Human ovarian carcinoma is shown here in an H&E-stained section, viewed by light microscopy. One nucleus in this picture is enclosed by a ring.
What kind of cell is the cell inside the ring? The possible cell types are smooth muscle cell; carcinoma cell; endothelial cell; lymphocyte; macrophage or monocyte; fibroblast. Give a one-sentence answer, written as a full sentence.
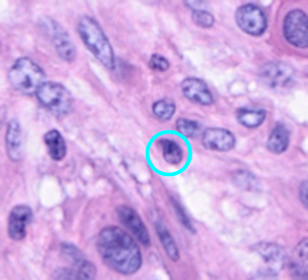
In short, the cell inside the ring on this section is a macrophage or monocyte.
